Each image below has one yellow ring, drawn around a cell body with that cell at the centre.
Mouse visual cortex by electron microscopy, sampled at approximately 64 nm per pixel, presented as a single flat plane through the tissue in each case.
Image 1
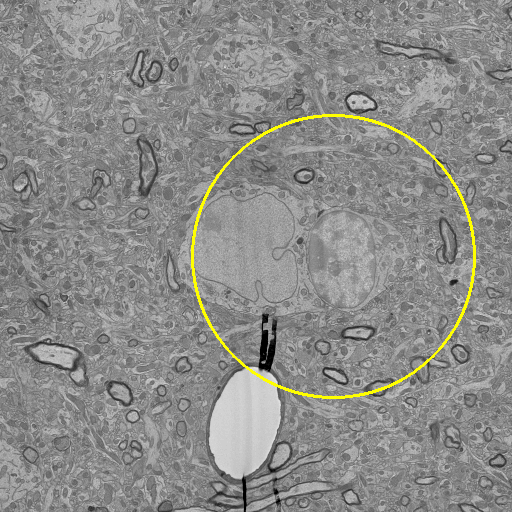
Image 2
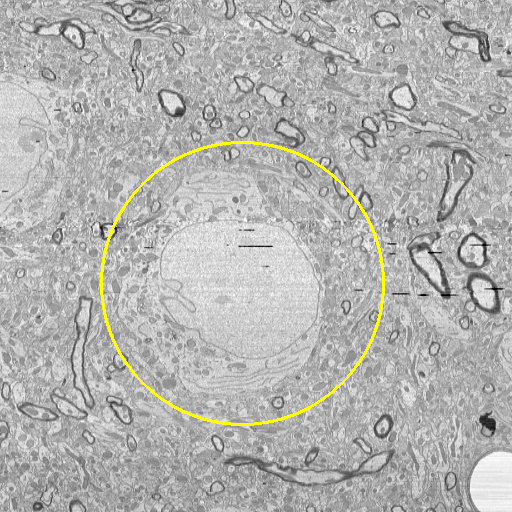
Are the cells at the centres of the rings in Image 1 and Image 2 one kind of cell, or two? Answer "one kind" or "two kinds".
two kinds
